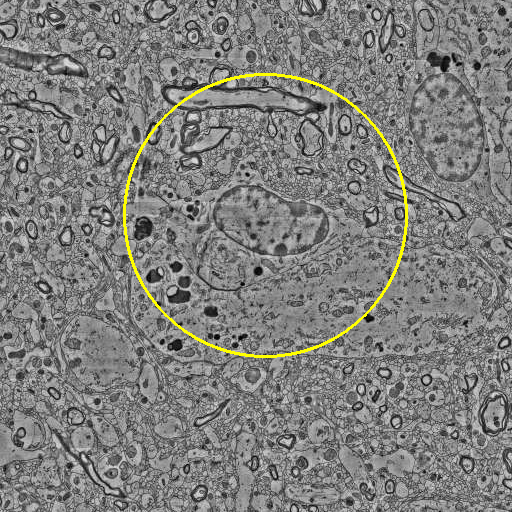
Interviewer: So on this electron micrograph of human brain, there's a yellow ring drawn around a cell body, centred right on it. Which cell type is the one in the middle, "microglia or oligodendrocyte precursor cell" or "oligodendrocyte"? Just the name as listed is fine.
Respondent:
microglia or oligodendrocyte precursor cell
